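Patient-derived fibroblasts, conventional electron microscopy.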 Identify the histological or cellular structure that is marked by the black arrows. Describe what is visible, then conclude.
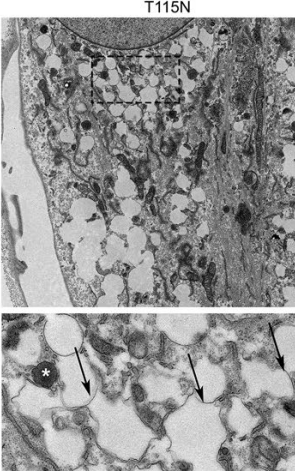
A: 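Interconnections. The vacuoles are bounded by thin membranes.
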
